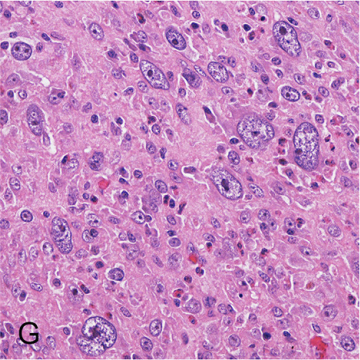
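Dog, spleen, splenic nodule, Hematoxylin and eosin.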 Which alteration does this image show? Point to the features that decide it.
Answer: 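Scattered cells with nuclei many times larger than neighbouring nuclei. Giant nuclei have vesicular chromatin and visible nucleoli. On this evidence: karyomegaly.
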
